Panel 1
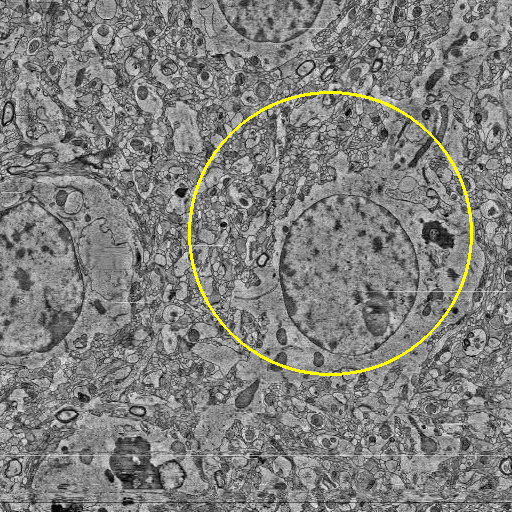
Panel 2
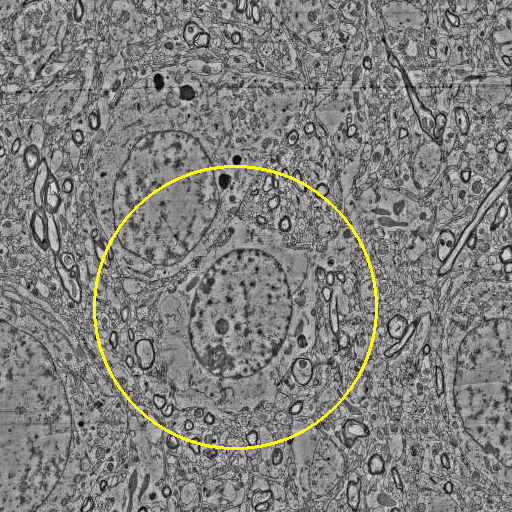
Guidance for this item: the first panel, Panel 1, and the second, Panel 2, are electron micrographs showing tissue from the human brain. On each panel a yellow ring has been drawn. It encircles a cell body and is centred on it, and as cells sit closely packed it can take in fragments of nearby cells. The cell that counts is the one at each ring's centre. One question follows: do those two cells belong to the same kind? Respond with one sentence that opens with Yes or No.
Yes, the cells at the ring centres in Panel 1 and Panel 2 are of one kind.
